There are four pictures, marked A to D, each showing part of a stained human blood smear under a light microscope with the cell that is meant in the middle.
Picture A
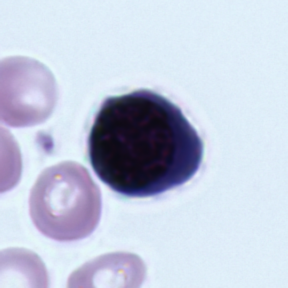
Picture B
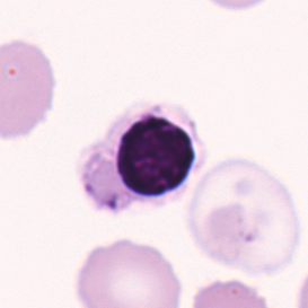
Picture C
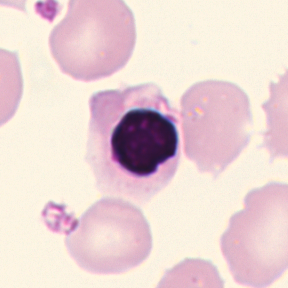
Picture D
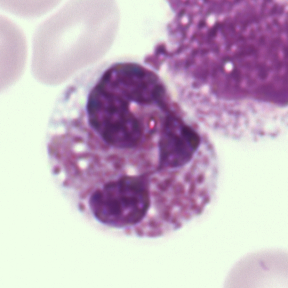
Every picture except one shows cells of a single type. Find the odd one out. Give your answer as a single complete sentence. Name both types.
The others show normoblasts, but picture D shows an eosinophil.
